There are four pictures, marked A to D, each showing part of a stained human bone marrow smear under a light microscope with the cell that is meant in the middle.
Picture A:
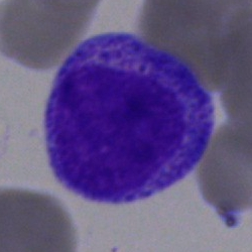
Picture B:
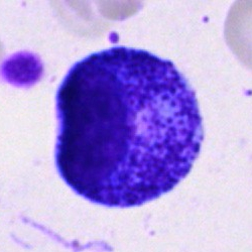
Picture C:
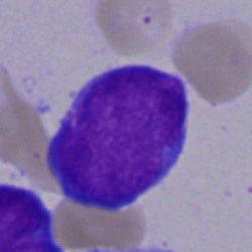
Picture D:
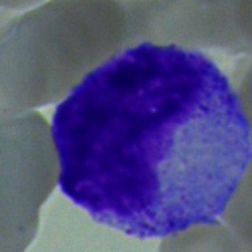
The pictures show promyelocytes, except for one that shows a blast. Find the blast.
C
